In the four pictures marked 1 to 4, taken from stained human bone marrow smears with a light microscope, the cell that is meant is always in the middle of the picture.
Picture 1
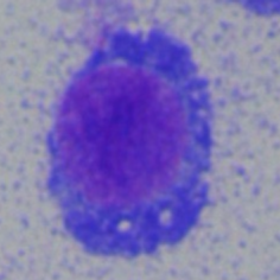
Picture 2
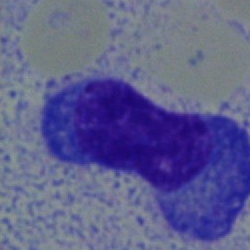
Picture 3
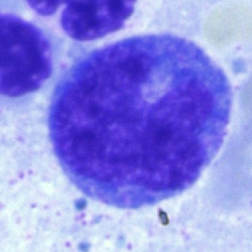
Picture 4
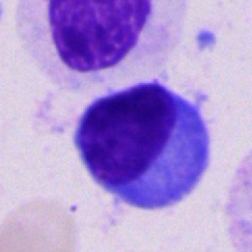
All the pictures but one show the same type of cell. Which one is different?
3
